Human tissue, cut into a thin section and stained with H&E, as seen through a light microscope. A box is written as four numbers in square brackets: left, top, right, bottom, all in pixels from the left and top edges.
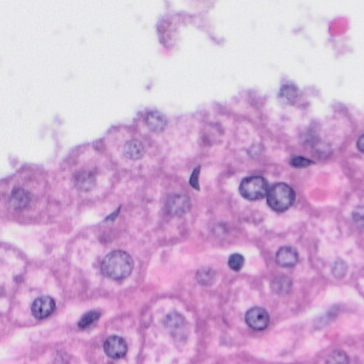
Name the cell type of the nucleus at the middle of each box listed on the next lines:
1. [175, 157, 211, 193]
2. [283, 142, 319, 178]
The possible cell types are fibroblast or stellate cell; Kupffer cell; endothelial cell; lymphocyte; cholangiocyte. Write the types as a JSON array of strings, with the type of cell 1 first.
["endothelial cell", "fibroblast or stellate cell"]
